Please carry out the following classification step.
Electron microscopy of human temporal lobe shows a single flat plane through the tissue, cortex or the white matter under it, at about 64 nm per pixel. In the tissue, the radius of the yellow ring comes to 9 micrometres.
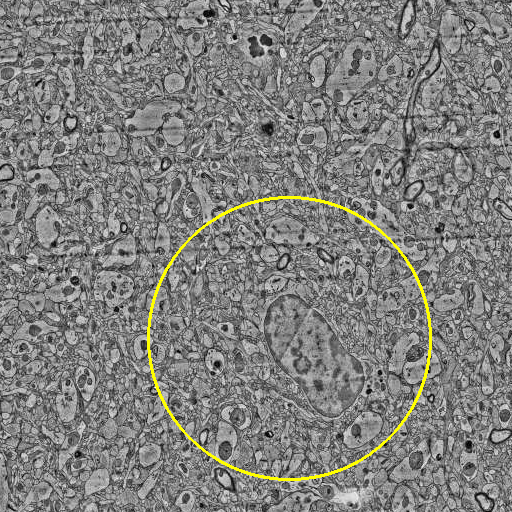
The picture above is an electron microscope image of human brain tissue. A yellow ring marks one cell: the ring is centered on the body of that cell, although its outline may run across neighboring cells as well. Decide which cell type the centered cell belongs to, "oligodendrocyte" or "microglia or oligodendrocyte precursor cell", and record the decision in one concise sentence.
The cell centered in the yellow ring is a microglial cell or oligodendrocyte precursor cell.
